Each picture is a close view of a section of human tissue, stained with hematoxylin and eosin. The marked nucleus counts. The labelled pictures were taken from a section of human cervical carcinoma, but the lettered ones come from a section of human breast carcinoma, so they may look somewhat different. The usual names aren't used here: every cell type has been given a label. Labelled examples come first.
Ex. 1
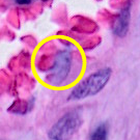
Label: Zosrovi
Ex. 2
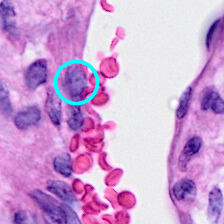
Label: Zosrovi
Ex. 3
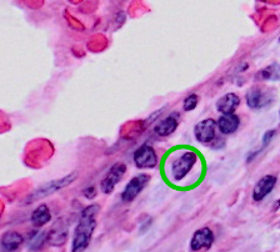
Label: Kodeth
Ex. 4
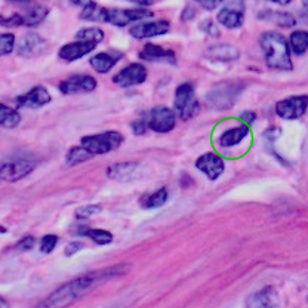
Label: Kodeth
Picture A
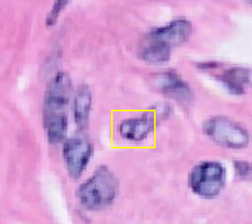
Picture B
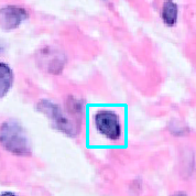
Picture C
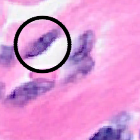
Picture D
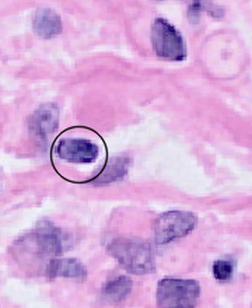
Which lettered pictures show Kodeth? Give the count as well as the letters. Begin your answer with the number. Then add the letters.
2: B, D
